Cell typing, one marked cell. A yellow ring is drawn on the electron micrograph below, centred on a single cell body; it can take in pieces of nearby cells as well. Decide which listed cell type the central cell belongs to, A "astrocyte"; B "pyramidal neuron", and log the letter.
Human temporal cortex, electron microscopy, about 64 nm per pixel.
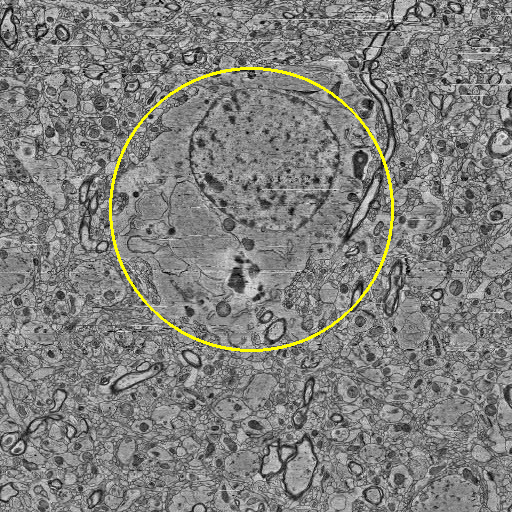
A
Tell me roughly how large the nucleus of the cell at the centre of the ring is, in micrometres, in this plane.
The nucleus of the ringed cell is approximately 10 micrometres across in this plane.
